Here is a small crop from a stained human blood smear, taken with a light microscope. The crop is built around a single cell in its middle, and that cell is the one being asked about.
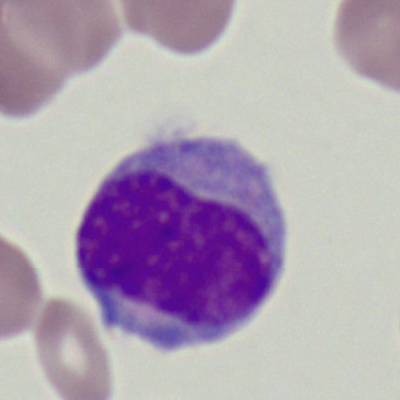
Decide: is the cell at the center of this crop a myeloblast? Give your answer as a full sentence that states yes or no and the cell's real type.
No, the cell located centrally is a monocyte rather than a myeloblast.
